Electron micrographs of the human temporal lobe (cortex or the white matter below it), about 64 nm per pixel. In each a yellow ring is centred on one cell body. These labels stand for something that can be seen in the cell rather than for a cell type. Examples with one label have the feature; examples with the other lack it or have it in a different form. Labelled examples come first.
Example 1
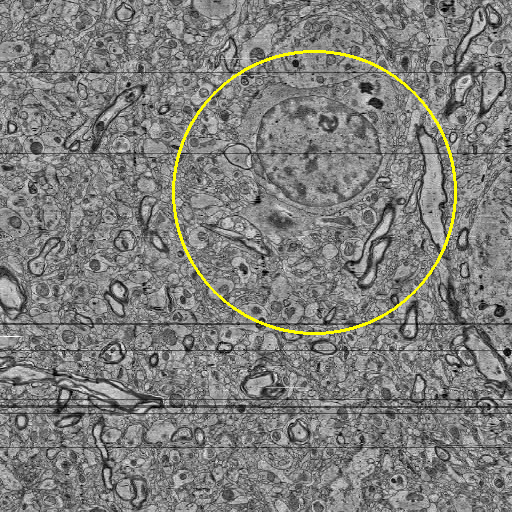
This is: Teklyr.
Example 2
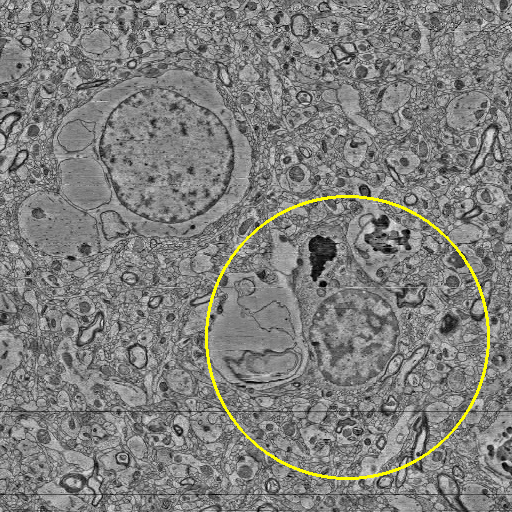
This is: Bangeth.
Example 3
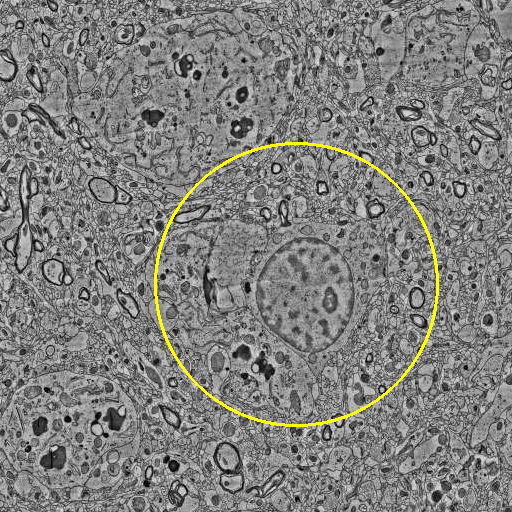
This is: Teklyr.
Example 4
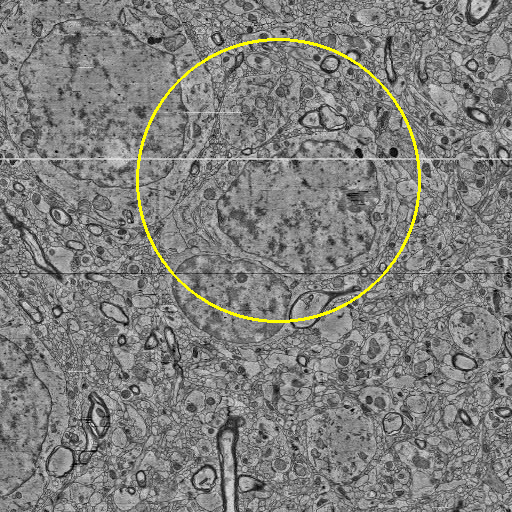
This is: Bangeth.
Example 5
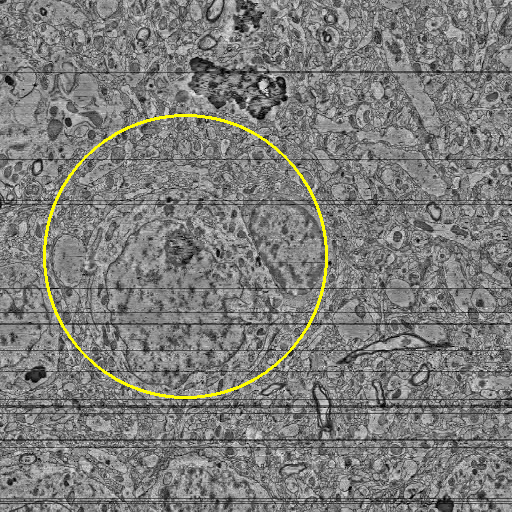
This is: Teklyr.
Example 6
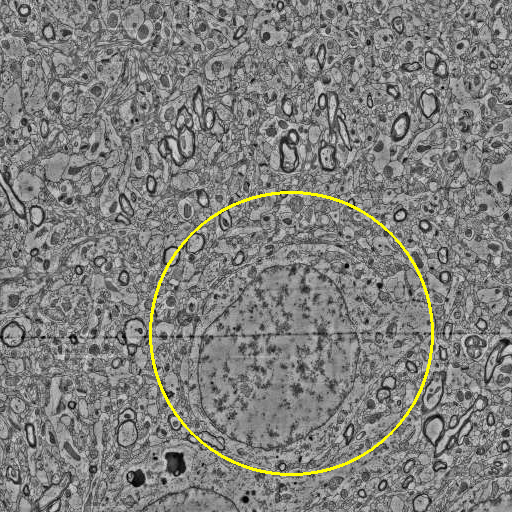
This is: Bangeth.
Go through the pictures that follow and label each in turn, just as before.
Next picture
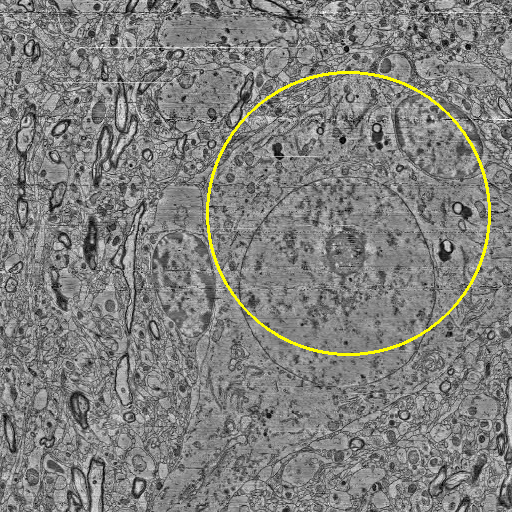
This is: Teklyr.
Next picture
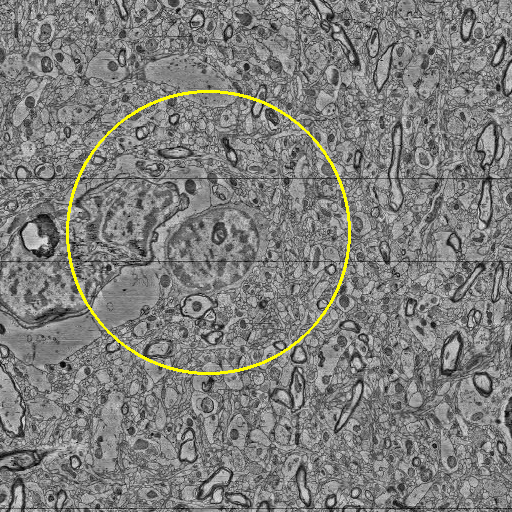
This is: Teklyr.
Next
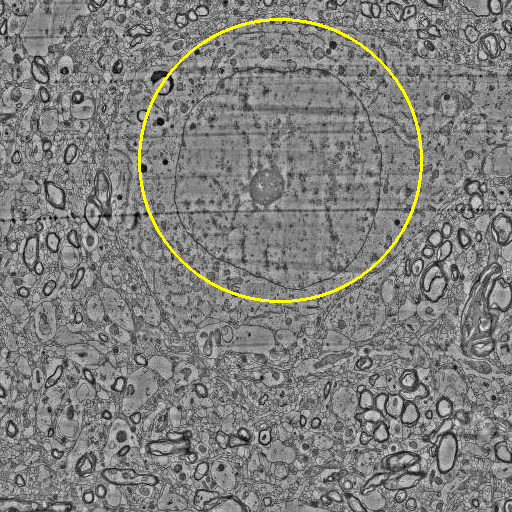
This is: Teklyr.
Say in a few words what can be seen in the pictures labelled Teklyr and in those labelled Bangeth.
Teklyr, nucleolus seen; Bangeth, no nucleolus seen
